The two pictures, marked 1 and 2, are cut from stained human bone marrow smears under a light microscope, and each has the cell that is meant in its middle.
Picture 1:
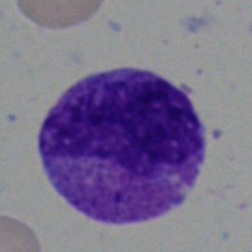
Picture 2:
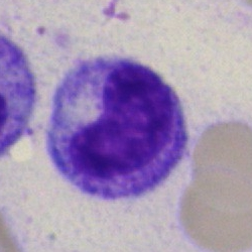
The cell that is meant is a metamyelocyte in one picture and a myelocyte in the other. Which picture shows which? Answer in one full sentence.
The cell in picture 1 is a myelocyte, and the one in picture 2 is a metamyelocyte.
